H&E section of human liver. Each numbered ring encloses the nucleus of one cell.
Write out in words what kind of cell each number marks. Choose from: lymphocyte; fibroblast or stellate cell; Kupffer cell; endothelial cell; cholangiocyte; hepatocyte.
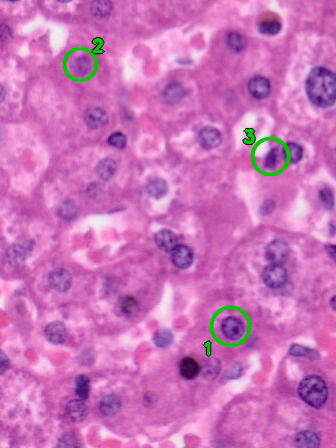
Cell 1 is a hepatocyte, cell 2 is a hepatocyte and cell 3 is a fibroblast or stellate cell.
